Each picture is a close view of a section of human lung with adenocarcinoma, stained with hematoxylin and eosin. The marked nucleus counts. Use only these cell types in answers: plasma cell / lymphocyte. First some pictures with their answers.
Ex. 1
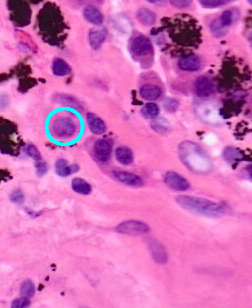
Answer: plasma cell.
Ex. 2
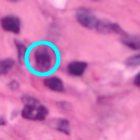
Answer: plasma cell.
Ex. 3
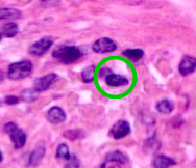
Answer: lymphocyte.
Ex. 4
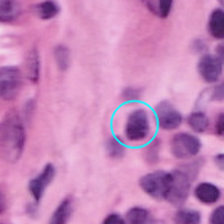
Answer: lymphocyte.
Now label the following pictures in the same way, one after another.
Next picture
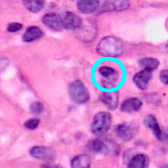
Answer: lymphocyte.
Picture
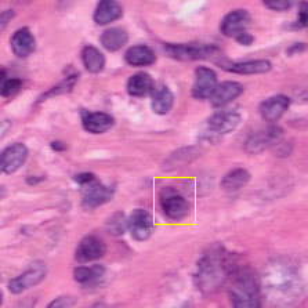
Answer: plasma cell.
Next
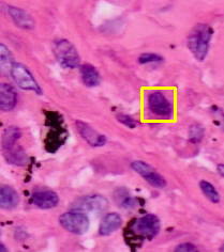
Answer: plasma cell.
